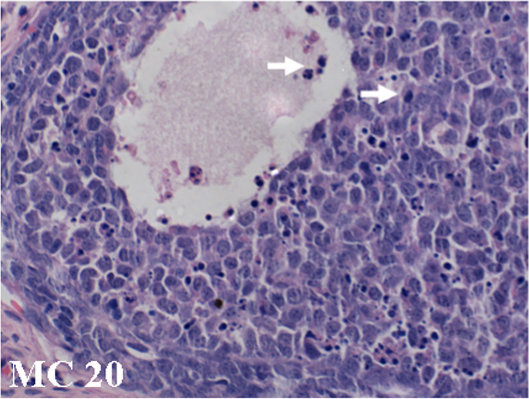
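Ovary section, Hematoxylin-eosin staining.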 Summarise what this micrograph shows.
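A large ovarian follicle is filled with many layers of closely packed granulosa cells with round purple nuclei, surrounding a pale pink, finely granular central area bordered by a clear space. Scattered among the granulosa cells and along the edge of the central area are small, very dark, shrunken nuclei and fragments, set apart from the paler normal nuclei. These condensed dark bodies are granulosa cells undergoing necrosis within an otherwise dense granulosa layer.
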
